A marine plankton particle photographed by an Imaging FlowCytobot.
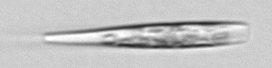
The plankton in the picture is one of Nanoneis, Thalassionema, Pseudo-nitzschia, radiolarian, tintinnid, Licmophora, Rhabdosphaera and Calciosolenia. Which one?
Licmophora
